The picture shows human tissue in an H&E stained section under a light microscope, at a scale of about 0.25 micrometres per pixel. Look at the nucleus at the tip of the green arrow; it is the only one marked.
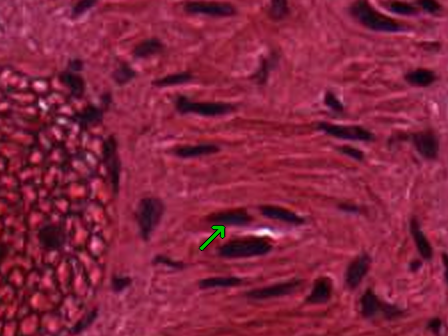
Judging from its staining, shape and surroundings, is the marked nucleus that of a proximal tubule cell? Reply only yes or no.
no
